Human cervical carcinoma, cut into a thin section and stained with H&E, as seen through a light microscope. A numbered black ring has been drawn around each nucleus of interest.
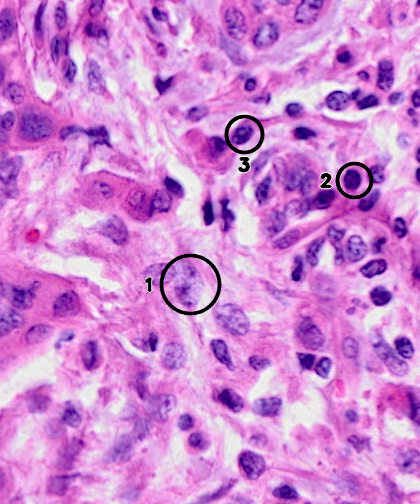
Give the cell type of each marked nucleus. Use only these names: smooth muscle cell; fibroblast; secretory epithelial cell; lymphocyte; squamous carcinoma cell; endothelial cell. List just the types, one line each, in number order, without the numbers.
fibroblast
lymphocyte
lymphocyte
